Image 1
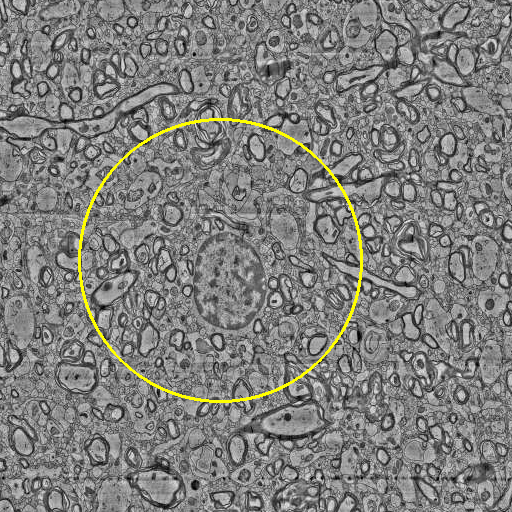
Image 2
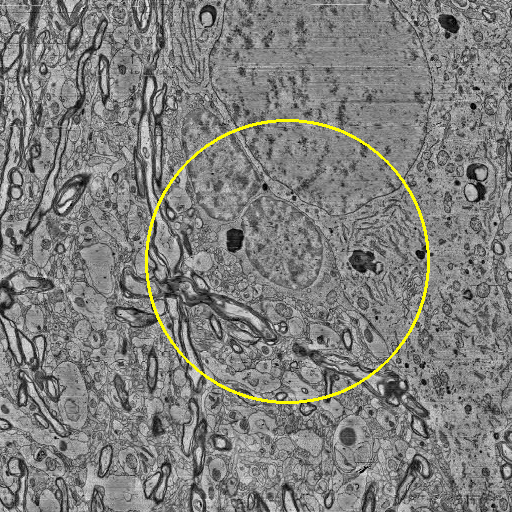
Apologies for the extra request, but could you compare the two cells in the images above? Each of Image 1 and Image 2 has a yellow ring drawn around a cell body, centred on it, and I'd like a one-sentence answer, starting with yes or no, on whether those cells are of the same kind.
Yes, both cells are of the same kind.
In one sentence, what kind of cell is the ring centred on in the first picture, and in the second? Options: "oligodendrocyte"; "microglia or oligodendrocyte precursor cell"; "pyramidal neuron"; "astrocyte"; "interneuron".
In each picture the ringed cell is an oligodendrocyte.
